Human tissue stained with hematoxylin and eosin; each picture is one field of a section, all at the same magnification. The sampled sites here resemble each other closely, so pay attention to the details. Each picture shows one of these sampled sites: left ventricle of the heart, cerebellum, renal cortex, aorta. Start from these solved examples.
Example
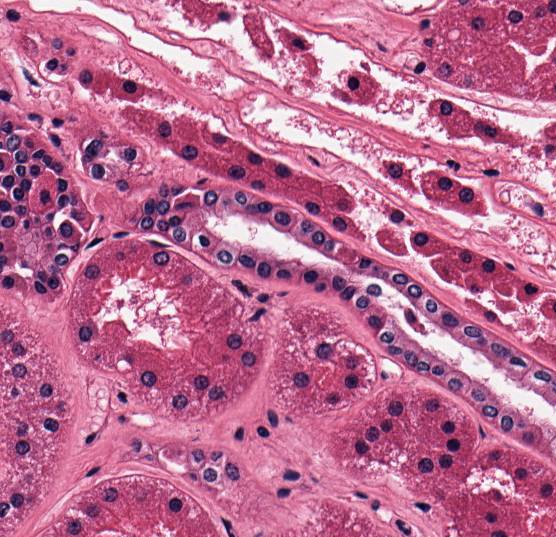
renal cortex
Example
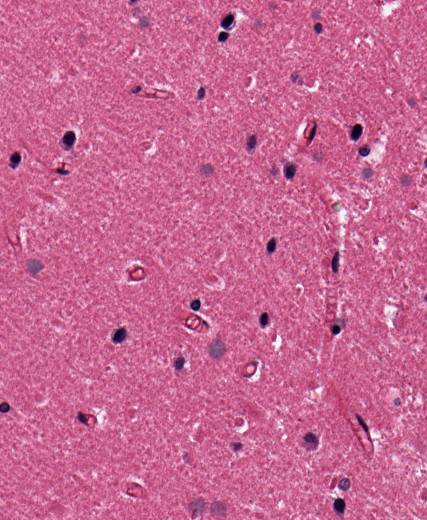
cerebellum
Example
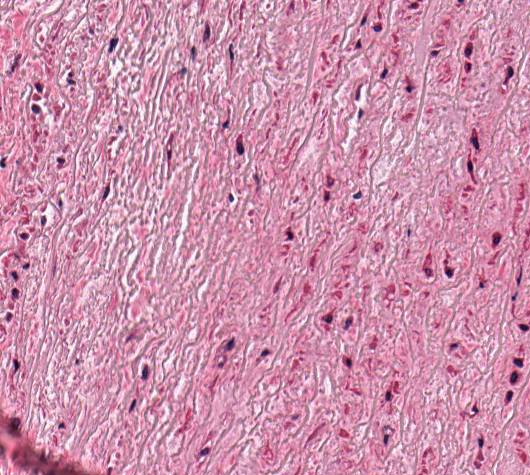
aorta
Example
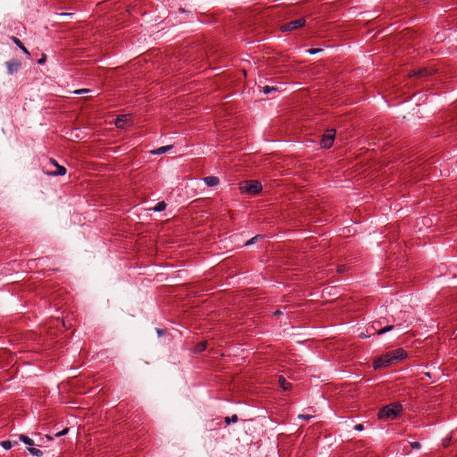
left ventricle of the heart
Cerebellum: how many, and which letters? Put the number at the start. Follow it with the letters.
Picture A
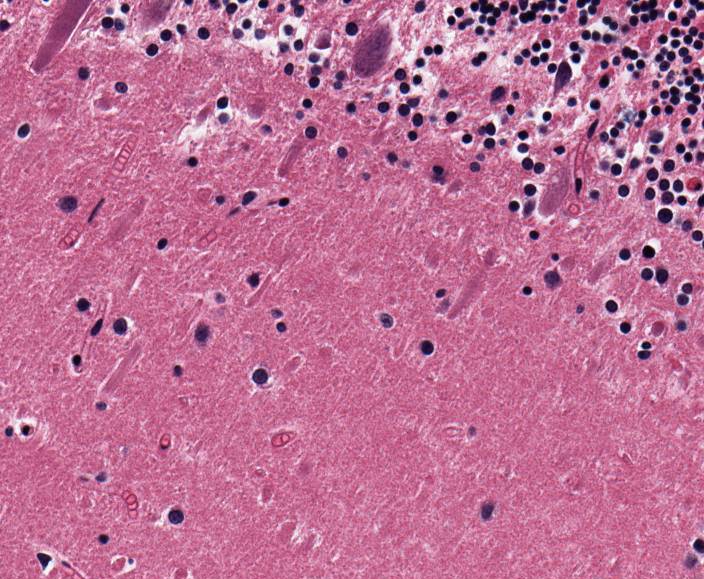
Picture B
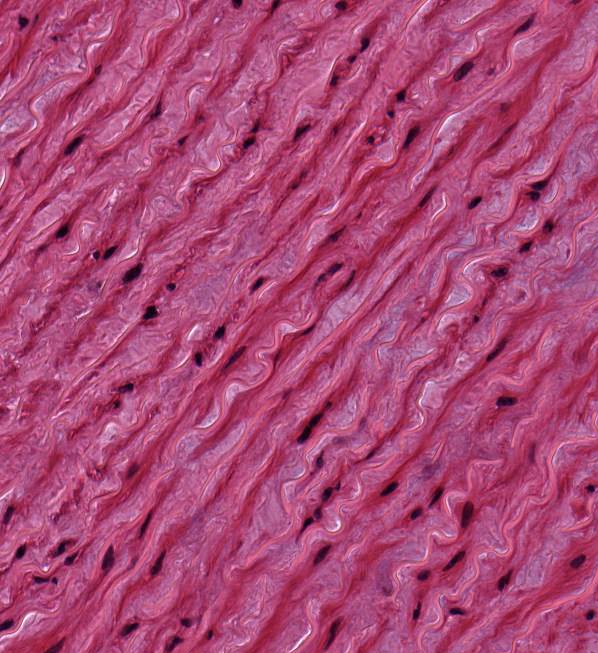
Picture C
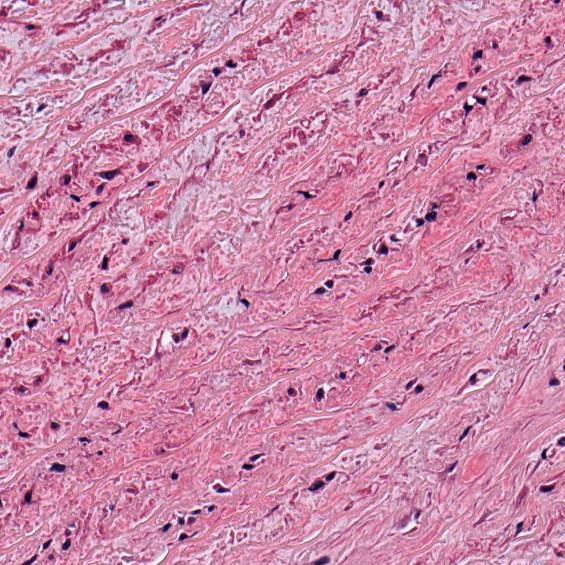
1, namely A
